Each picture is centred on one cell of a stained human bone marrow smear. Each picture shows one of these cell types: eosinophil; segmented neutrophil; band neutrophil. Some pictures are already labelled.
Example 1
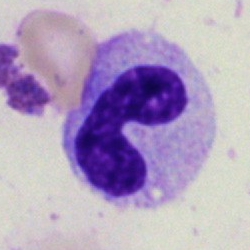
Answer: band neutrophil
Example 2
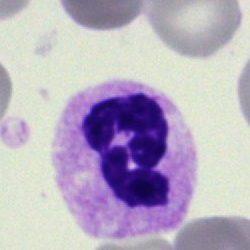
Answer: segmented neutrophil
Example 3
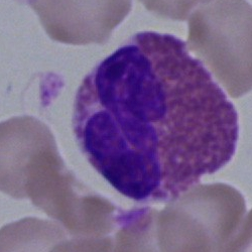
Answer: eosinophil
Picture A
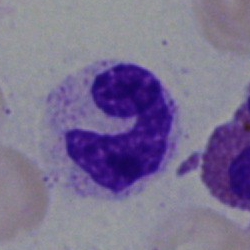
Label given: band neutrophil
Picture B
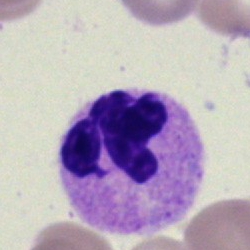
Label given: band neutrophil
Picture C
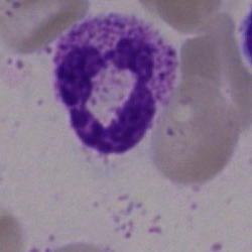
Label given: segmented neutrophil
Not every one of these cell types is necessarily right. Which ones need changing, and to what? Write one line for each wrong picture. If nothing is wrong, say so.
B should be segmented neutrophil, not band neutrophil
